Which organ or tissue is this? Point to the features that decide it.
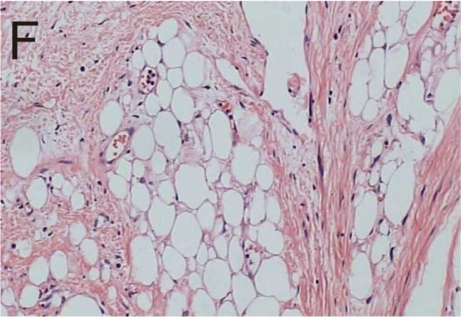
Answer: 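Clusters of large, empty-looking round and polygonal cells with thin membranes. Nuclei are flattened at the edges of the clear cells. Pink fibrous bands run between the clusters of clear cells.
Hence: adipose tissue.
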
